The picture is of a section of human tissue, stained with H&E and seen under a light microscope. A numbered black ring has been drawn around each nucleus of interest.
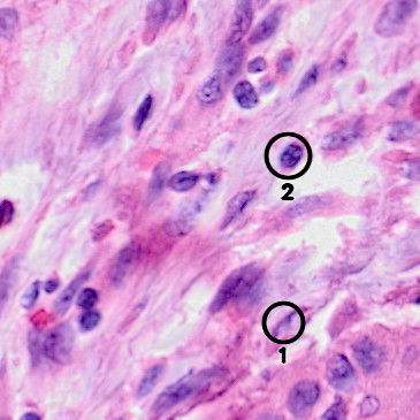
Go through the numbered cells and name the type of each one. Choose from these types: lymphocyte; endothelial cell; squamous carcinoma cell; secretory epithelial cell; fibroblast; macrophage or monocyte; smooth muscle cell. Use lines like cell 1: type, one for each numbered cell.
cell 1: fibroblast
cell 2: lymphocyte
